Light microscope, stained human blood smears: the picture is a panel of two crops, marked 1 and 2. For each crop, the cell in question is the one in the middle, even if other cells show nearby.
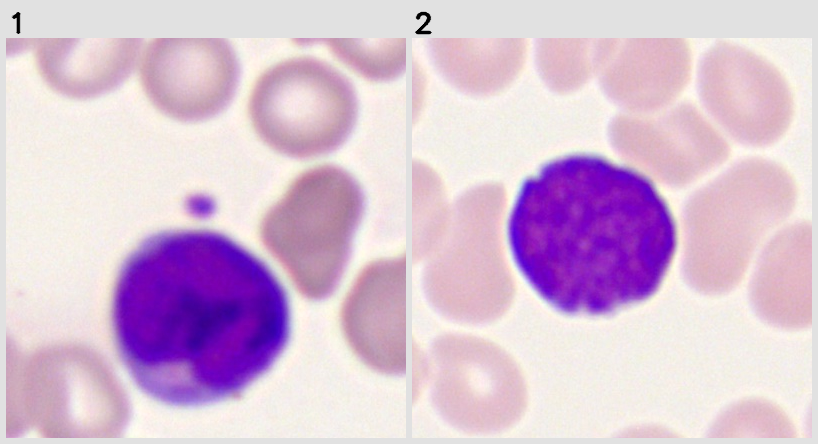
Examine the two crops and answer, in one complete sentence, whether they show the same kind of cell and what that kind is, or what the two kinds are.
Yes, both of the crops in this pair show myeloblasts, one cell in each crop.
